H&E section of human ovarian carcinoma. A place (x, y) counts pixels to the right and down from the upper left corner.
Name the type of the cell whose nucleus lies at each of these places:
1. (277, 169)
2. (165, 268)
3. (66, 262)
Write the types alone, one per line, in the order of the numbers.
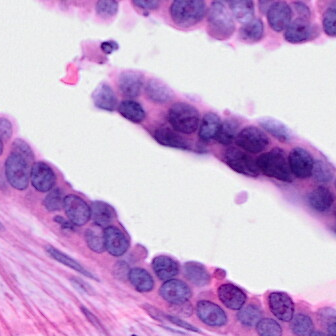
carcinoma cell
carcinoma cell
fibroblast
